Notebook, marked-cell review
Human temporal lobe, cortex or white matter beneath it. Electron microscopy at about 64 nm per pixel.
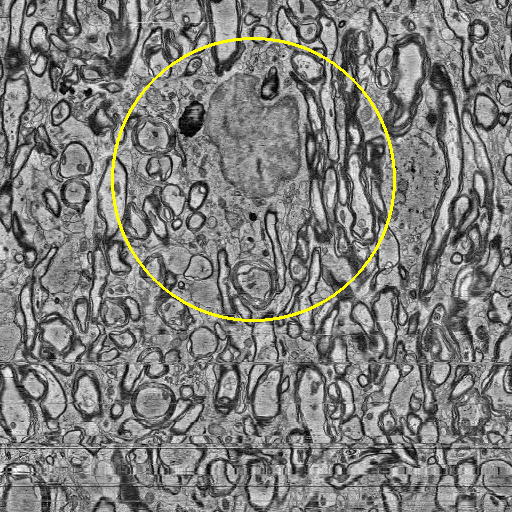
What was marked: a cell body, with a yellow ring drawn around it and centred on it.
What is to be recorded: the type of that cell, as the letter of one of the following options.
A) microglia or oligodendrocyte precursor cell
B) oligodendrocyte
B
